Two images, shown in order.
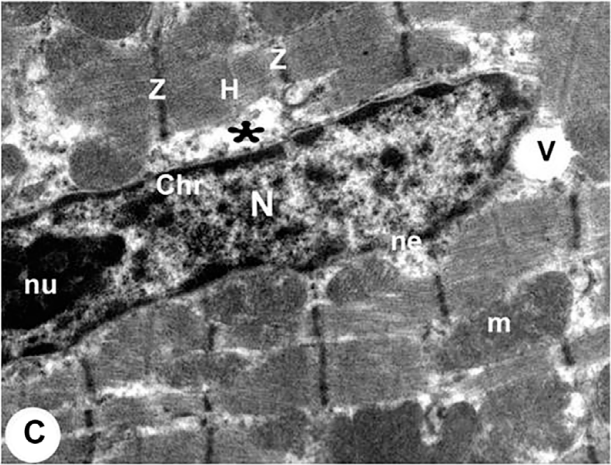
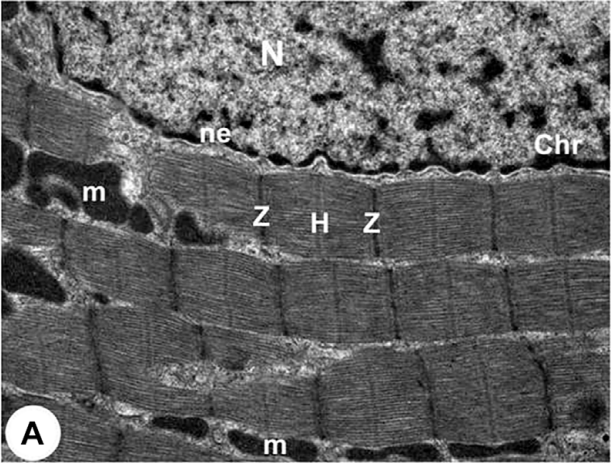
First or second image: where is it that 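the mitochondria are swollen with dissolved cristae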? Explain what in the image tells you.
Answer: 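Second image: mitochondria are small, compact and uniformly dark.
The first image.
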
